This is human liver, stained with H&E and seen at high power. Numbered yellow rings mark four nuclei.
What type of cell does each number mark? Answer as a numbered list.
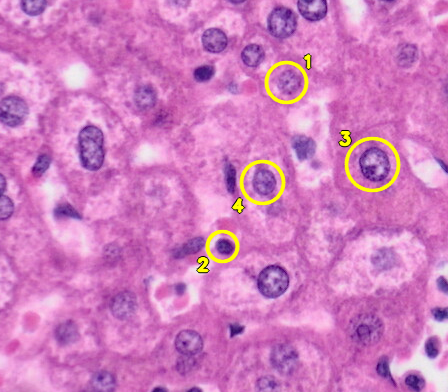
1. hepatocyte
2. lymphocyte
3. hepatocyte
4. hepatocyte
